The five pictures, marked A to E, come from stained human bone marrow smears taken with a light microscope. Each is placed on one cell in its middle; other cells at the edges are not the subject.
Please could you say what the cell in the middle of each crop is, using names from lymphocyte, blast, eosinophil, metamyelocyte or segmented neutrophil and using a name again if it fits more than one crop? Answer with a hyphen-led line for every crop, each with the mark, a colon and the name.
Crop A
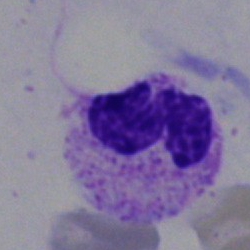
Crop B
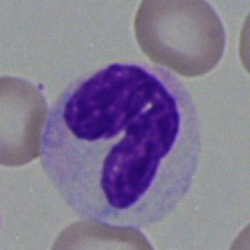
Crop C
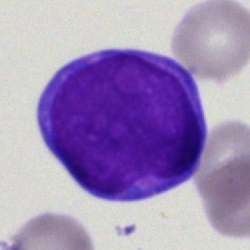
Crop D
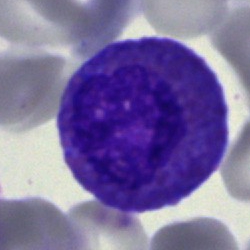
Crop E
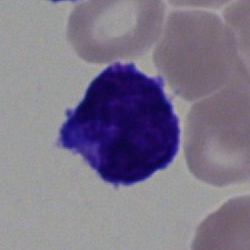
- A: segmented neutrophil
- B: segmented neutrophil
- C: blast
- D: eosinophil
- E: blast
